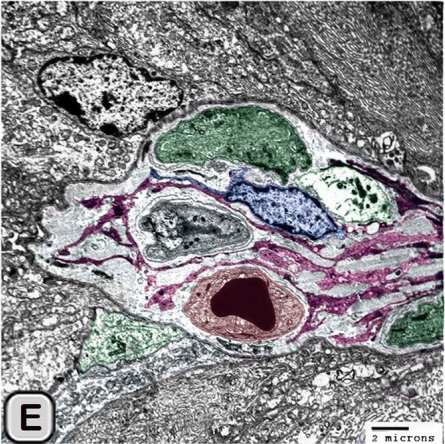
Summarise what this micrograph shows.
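This electron micrograph shows a strip of interstitial tissue between two cells rich in fibrils, with a small blood vessel, coloured reddish brown, whose lumen holds a dark red blood cell. Thin pink telopodes weave a network around the vessel and the neighbouring cells. Above them lie green profiles of a Schwann cell and nerve fibres, and a blue cell with an irregular nucleus lies in close contact with them.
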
